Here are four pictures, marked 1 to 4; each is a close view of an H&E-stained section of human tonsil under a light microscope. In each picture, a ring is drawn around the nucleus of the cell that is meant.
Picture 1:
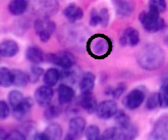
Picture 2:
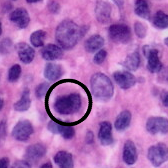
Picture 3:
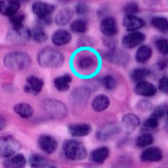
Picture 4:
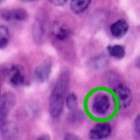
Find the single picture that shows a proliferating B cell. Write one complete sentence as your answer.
Picture 2 shows the proliferating B cell.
